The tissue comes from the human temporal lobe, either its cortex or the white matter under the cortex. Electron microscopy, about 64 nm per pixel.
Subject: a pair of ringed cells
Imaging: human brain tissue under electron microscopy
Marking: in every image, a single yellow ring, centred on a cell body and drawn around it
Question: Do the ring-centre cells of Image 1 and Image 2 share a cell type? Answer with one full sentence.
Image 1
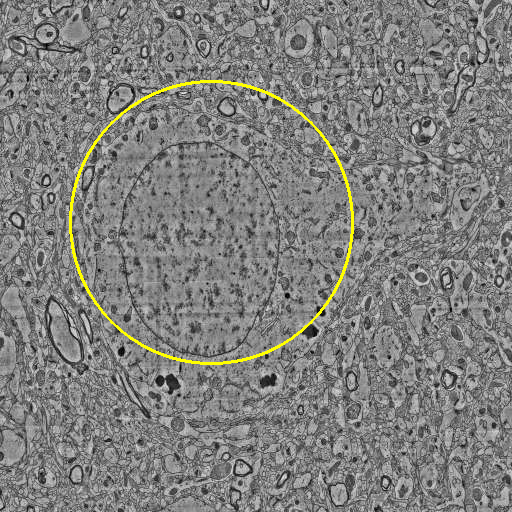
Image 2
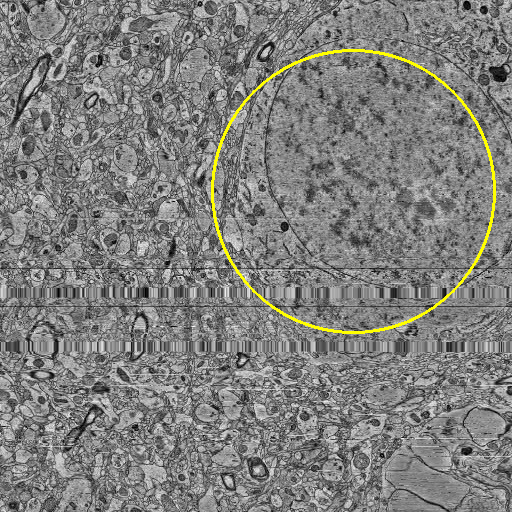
Yes, at each ring's centre in the images sits a cell of one common type.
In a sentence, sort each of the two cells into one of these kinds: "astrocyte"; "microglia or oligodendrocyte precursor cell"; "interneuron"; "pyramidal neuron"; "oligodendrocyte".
Each of the two rings surrounds a pyramidal neuron.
